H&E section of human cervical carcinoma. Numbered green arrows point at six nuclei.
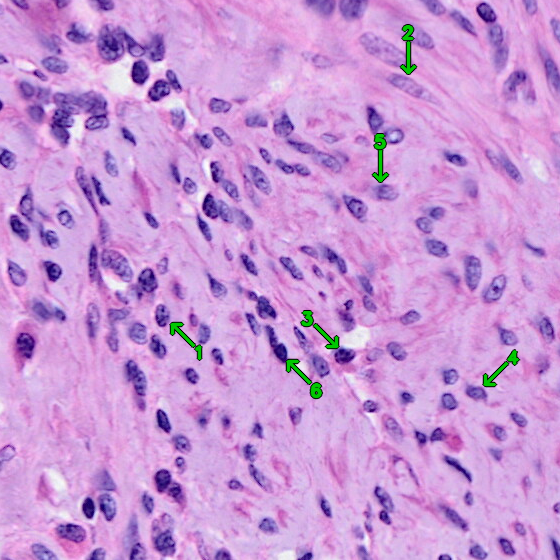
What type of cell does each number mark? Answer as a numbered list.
1. lymphocyte
2. smooth muscle cell
3. lymphocyte
4. smooth muscle cell
5. smooth muscle cell
6. lymphocyte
